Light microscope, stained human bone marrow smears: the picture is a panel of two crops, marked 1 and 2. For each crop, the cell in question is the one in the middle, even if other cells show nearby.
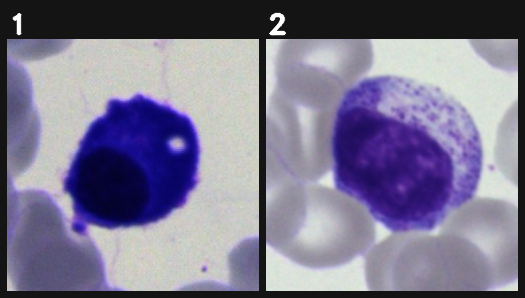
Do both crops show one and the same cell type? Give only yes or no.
no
